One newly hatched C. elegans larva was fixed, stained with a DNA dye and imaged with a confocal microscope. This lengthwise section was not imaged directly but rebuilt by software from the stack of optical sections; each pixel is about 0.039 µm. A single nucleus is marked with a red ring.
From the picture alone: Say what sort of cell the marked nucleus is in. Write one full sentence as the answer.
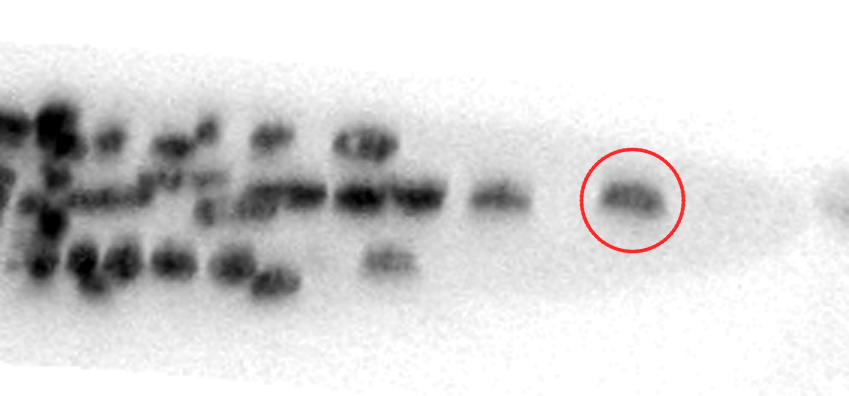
The marked nucleus belongs to a hypodermal cell (hyp).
